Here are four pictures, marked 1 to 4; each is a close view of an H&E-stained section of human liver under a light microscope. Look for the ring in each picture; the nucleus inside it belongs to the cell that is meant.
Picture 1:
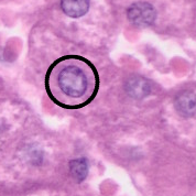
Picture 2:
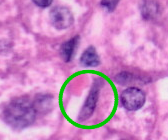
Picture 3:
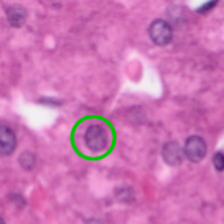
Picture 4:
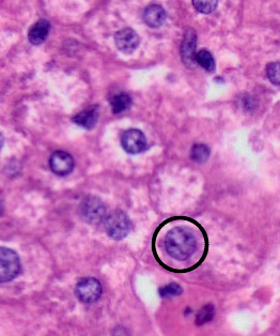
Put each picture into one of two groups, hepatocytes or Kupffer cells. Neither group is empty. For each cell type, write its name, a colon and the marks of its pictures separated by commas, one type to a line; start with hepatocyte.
hepatocyte: 1, 3, 4
Kupffer cell: 2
